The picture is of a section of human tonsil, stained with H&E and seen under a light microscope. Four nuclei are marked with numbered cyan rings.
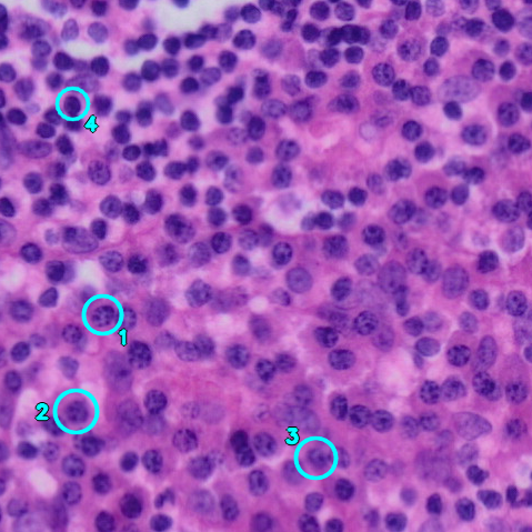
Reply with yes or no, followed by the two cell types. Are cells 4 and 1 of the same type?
No, unlike cell 1, which is a plasma cell, cell 4 is a small lymphocyte.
